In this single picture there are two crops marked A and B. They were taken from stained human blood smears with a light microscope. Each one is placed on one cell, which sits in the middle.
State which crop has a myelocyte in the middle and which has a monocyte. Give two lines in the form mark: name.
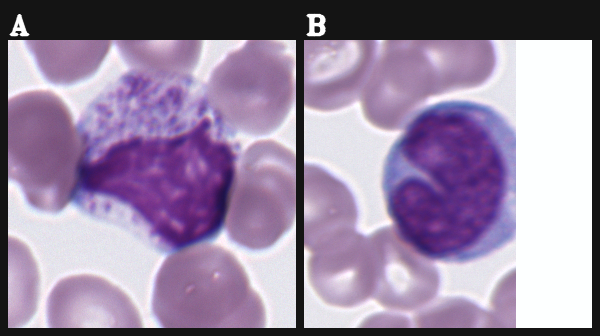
A: myelocyte
B: monocyte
